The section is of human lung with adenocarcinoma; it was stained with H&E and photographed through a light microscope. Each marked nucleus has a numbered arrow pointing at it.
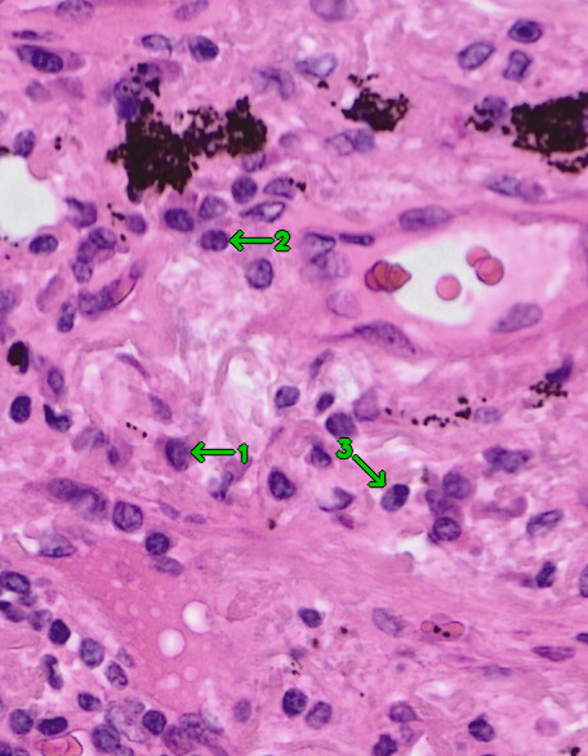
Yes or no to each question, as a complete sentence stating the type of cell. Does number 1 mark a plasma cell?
Yes, cell 1 is a plasma cell in this tissue section.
